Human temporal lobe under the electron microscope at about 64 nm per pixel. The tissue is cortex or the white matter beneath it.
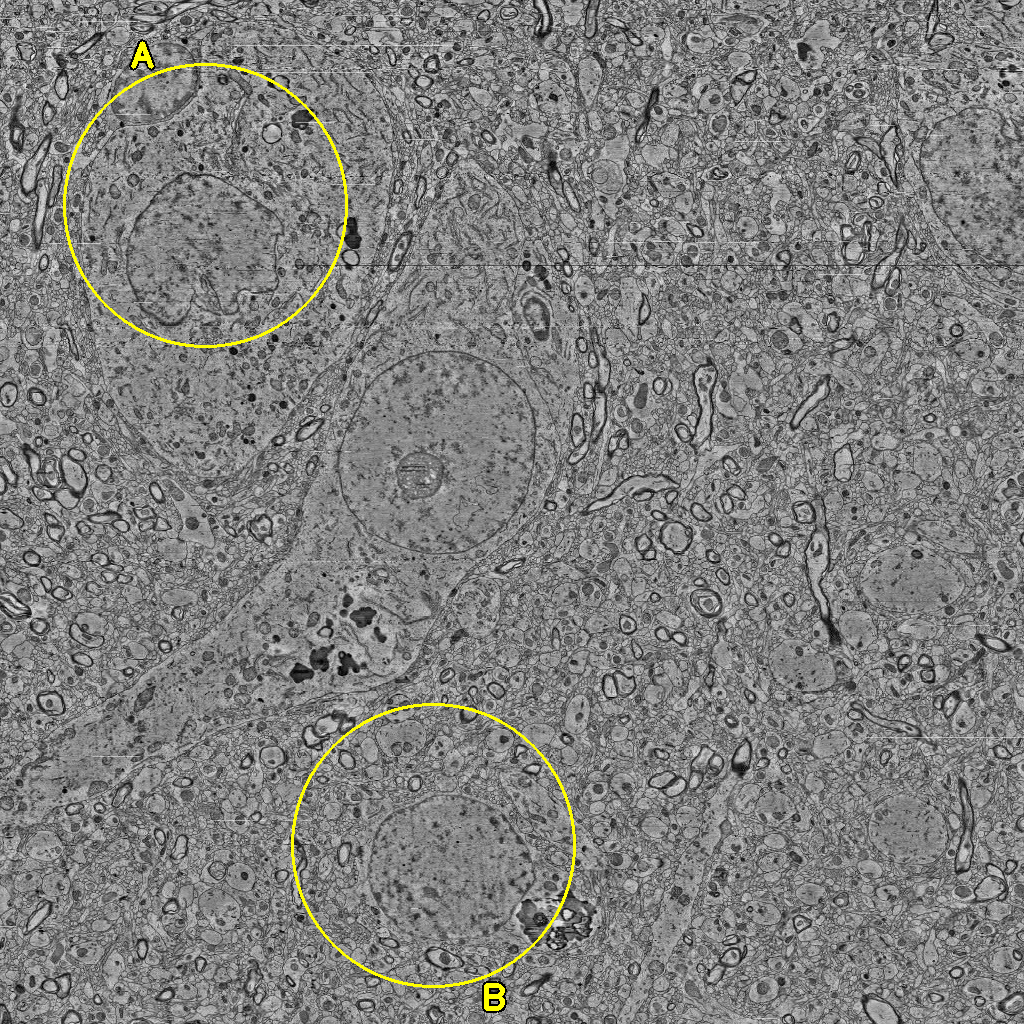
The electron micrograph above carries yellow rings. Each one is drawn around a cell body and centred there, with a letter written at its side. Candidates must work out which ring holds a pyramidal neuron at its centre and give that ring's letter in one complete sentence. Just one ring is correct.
Letter A marks the ring whose centre holds that kind of cell.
